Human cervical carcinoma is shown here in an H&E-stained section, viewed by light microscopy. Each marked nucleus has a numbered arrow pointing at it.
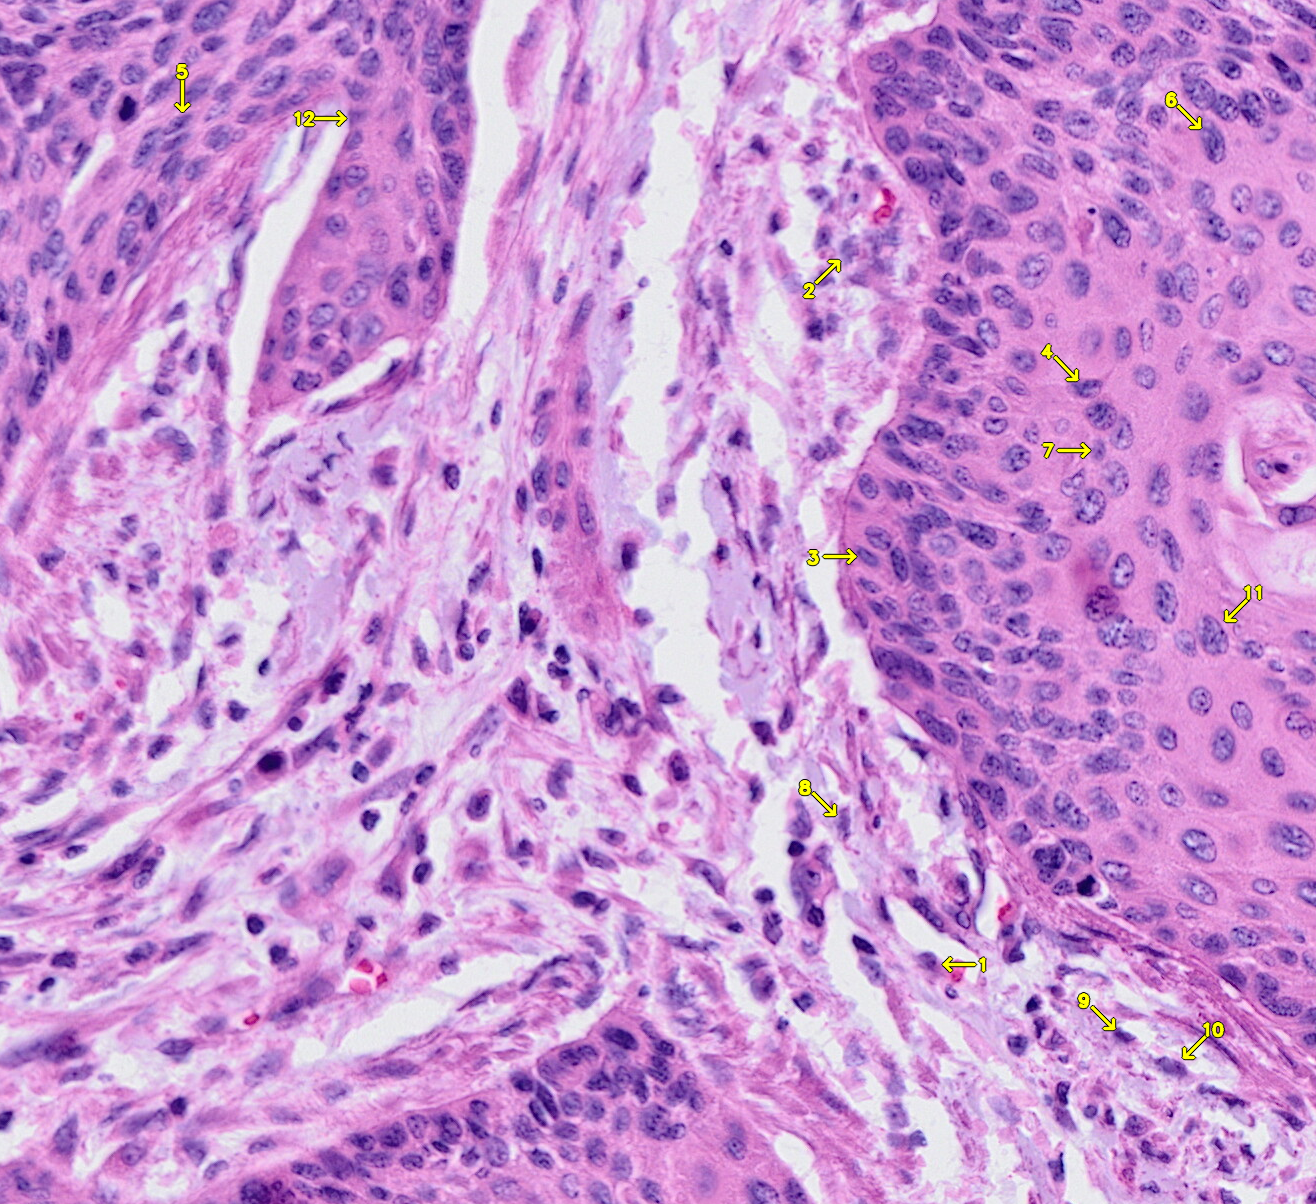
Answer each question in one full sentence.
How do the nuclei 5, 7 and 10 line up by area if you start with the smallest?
The order from the smallest nucleus to the largest is 7, 5, 10.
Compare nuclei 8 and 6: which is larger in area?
Number 6 is larger; its area is about 2.5 times that of number 8.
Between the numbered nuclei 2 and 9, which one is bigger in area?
At about 2 times the area of nucleus 9, nucleus 2 is the larger of the two.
